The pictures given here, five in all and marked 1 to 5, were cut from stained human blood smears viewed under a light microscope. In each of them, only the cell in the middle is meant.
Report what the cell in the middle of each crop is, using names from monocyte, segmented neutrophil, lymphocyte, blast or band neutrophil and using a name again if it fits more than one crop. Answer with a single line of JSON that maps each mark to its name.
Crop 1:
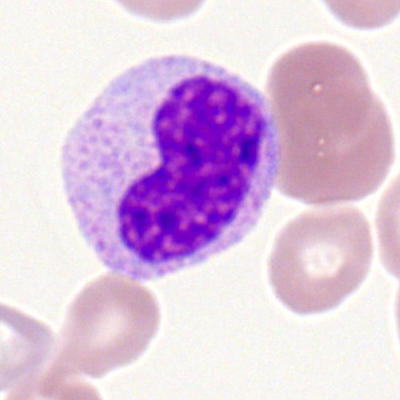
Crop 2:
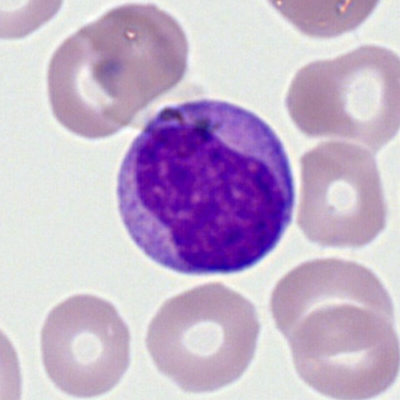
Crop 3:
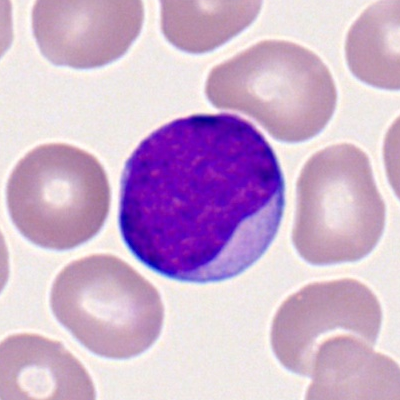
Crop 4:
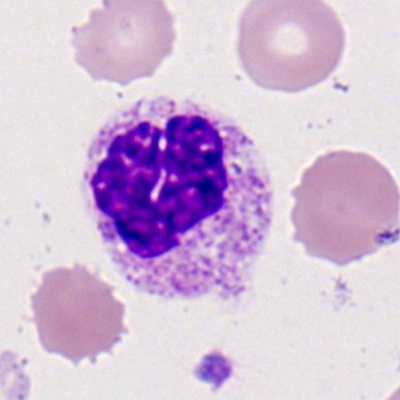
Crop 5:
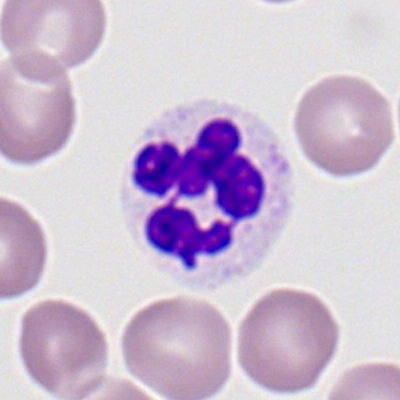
{"1": "band neutrophil", "2": "blast", "3": "blast", "4": "band neutrophil", "5": "segmented neutrophil"}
